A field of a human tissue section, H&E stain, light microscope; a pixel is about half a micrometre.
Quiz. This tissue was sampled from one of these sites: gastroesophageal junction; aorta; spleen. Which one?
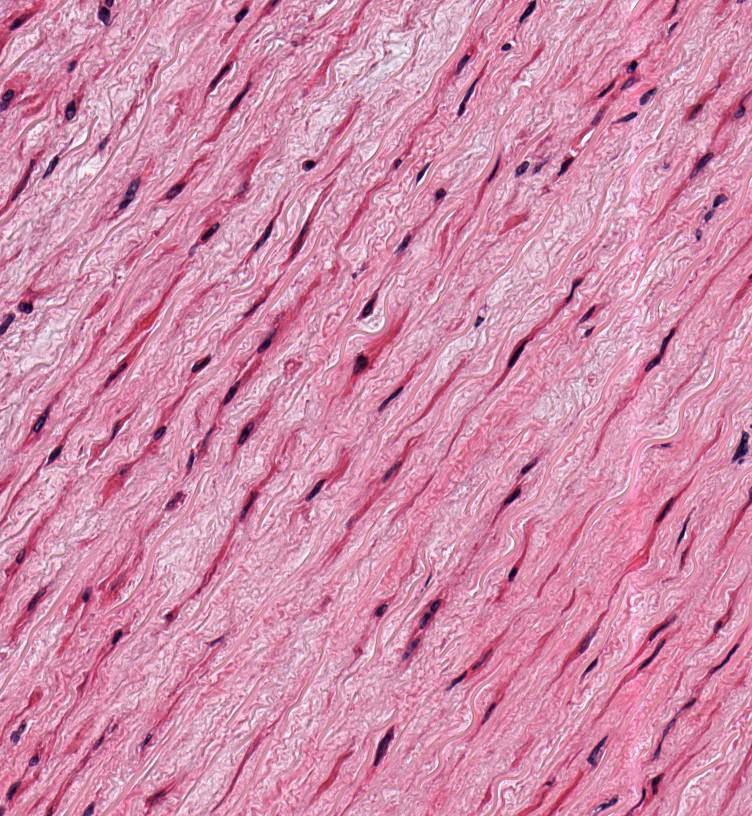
aorta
